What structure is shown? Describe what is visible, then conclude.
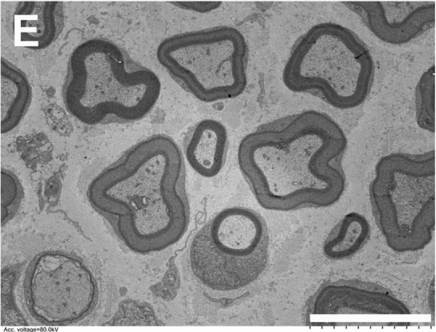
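Myelinated nerve fibers. Pale axon profiles each enclosed by a dark, thick ring. Several profiles are irregular or folded in outline.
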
